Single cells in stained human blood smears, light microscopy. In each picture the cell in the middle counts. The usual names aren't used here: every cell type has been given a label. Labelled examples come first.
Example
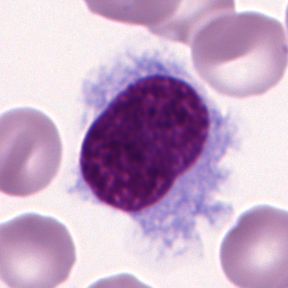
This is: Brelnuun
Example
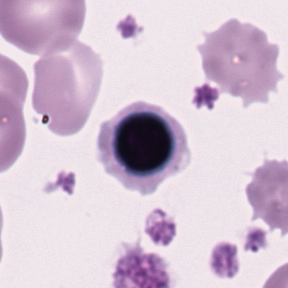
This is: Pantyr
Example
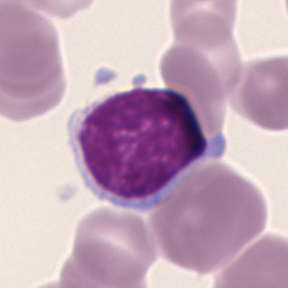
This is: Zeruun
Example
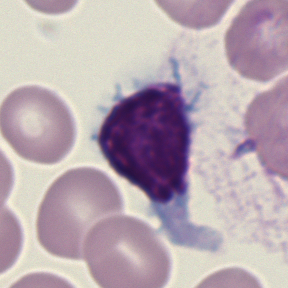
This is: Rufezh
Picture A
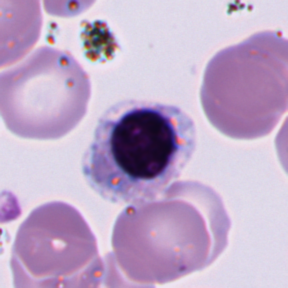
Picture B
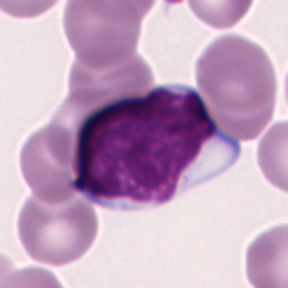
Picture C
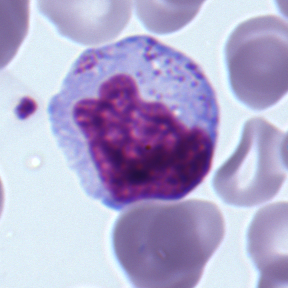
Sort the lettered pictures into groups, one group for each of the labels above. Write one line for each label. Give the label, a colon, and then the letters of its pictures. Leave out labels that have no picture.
Pantyr: A
Zeruun: B, C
